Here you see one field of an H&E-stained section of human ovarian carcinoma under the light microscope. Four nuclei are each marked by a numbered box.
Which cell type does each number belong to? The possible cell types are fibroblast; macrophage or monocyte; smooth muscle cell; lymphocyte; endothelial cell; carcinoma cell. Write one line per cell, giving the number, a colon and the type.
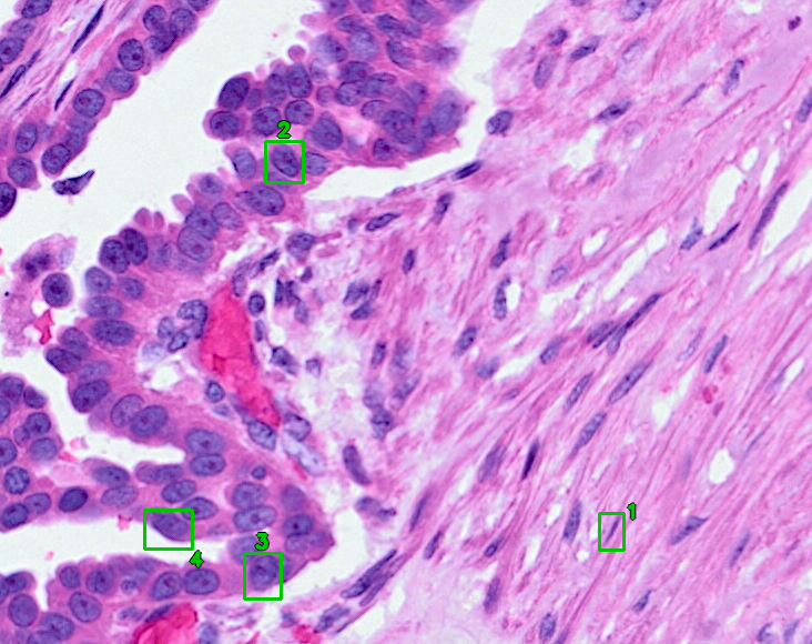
1: fibroblast
2: carcinoma cell
3: carcinoma cell
4: carcinoma cell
